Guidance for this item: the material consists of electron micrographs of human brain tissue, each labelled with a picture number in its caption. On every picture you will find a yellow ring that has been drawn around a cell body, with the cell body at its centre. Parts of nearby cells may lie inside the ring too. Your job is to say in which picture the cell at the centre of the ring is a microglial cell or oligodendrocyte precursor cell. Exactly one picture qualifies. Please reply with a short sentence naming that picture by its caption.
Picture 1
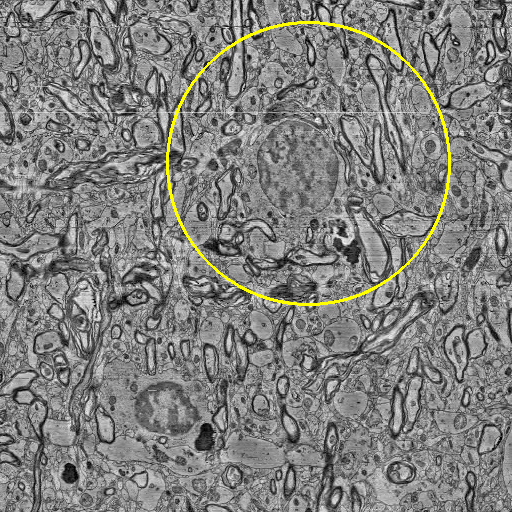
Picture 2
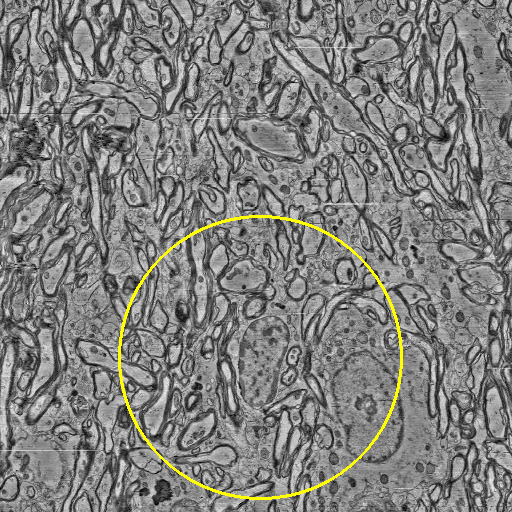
Picture 2 shows it at the centre of the ring.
